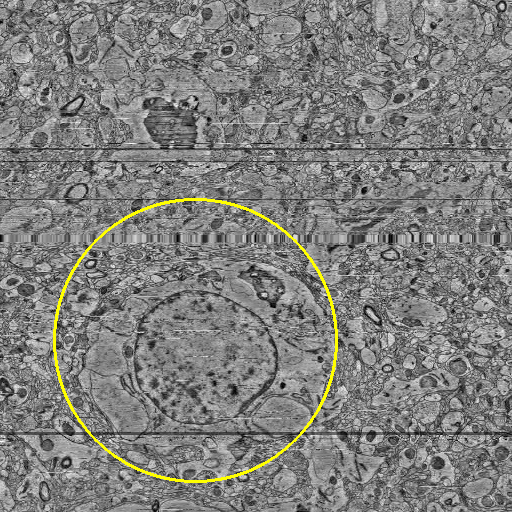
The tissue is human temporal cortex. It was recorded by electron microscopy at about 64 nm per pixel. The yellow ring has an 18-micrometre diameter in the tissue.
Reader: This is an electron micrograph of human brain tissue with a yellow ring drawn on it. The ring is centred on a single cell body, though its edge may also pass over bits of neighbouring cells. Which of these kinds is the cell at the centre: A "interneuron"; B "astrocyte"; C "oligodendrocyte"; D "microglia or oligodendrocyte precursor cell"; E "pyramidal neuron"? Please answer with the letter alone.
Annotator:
B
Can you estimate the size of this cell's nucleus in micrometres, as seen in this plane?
About 9 micrometres across in this plane.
